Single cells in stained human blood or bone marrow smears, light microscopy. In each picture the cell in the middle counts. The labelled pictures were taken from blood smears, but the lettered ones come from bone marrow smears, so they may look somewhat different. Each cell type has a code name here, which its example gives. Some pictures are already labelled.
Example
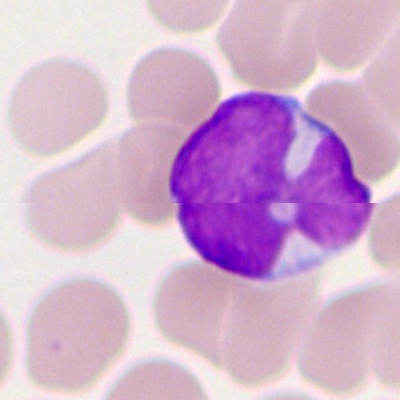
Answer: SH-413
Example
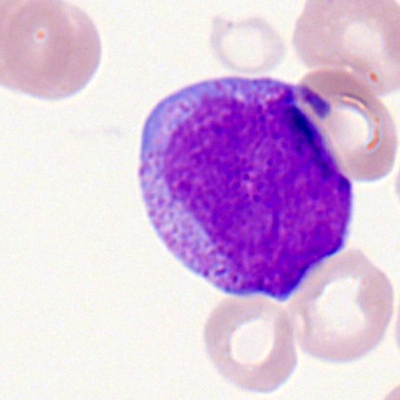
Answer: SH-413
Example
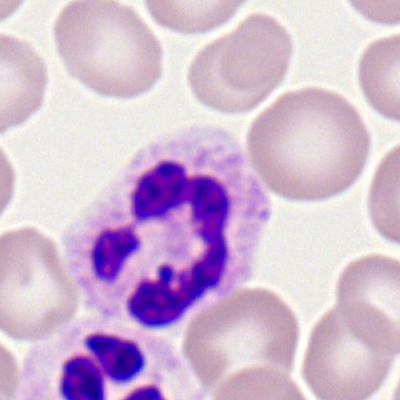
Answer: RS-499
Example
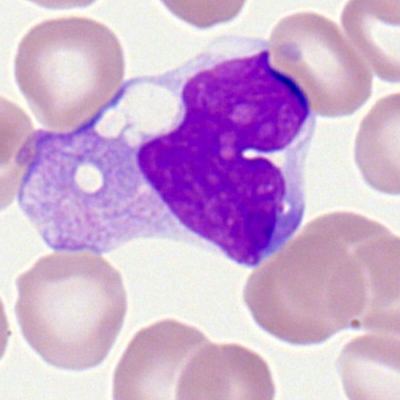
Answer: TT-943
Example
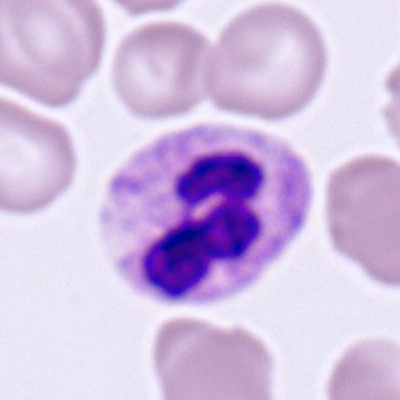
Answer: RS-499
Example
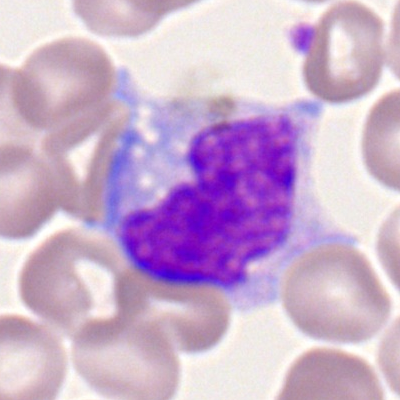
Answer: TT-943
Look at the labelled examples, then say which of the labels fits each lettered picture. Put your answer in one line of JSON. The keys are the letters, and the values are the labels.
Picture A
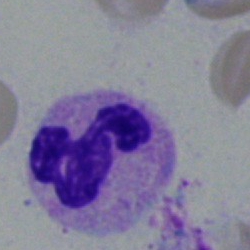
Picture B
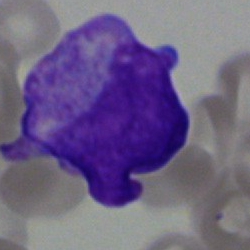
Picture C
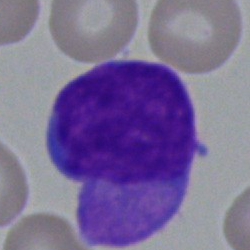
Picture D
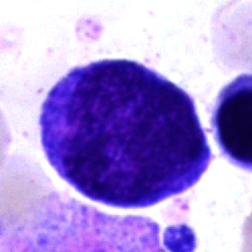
{"A": "RS-499", "B": "SH-413", "C": "SH-413", "D": "SH-413"}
